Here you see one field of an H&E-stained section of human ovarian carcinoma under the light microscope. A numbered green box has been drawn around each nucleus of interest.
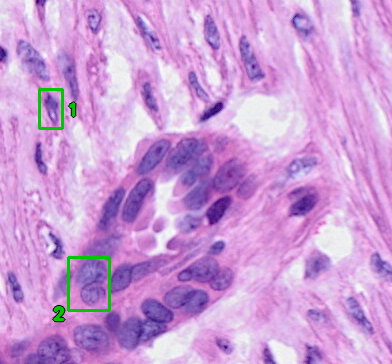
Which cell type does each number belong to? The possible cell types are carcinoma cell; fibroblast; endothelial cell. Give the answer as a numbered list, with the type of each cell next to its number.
1. fibroblast
2. carcinoma cell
